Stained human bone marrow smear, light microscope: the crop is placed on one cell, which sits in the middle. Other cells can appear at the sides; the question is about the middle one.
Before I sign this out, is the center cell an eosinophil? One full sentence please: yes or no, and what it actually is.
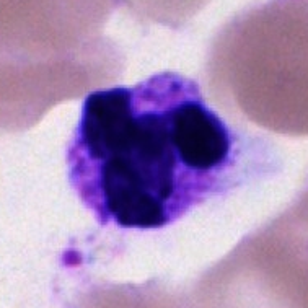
No, it is a segmented neutrophil and not an eosinophil that occupies the middle of the crop.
